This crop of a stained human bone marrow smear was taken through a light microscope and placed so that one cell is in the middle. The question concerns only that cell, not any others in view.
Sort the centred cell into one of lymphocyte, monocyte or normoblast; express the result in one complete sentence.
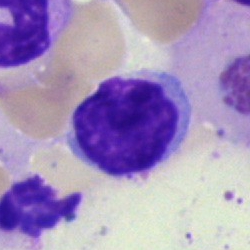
By classification, the middle cell of this crop is a lymphocyte.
